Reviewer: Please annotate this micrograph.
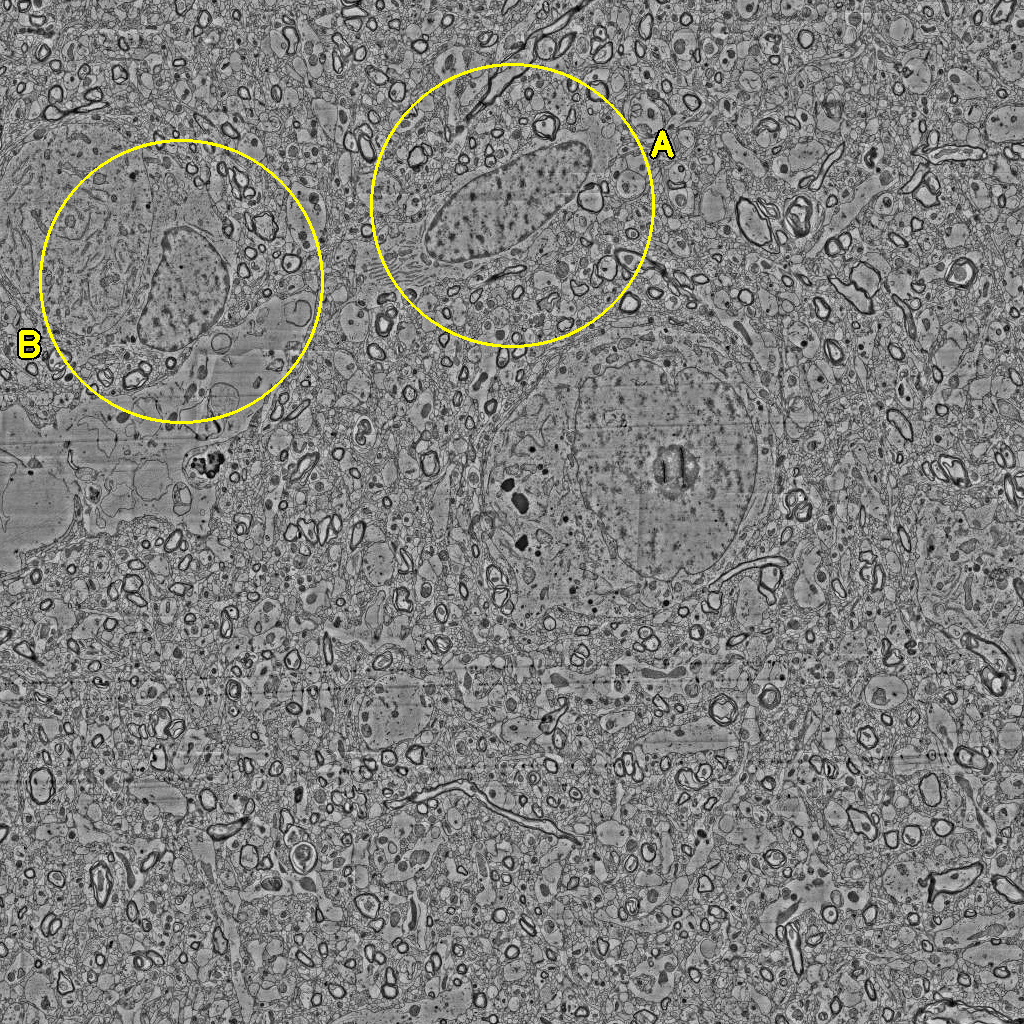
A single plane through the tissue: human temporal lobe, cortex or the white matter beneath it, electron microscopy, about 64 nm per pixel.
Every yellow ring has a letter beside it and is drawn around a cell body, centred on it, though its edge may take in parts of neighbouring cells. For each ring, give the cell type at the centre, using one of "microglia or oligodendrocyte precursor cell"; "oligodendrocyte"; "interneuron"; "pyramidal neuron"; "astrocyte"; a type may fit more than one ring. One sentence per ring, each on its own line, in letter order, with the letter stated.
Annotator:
The cell in the middle of ring A is a microglial cell or oligodendrocyte precursor cell.
The cell in the middle of ring B is a microglial cell or oligodendrocyte precursor cell.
